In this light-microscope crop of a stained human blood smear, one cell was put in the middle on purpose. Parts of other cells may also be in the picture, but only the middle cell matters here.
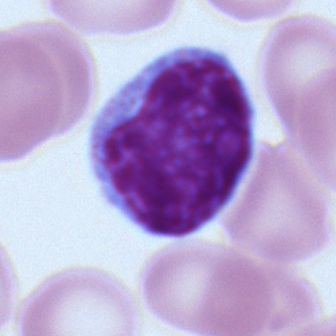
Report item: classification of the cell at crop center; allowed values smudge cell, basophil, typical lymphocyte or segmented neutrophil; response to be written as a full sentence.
The central cell shown in this smear crop is a typical lymphocyte.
